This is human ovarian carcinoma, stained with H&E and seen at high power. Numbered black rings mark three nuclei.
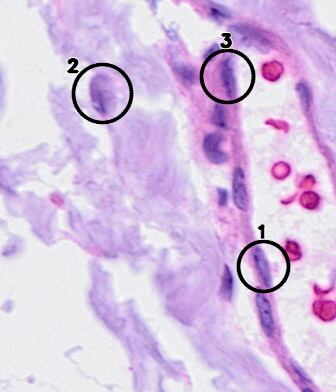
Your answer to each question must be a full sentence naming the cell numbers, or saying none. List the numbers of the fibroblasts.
Cell number 2 alone is a fibroblast; the rest are not.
